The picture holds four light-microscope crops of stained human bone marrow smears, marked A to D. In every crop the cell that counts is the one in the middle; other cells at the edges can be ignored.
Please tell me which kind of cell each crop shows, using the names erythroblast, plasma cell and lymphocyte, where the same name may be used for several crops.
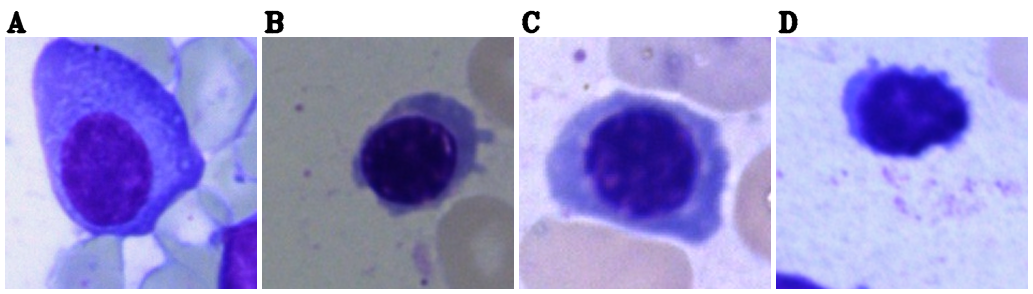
A: plasma cell
B: erythroblast
C: erythroblast
D: lymphocyte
